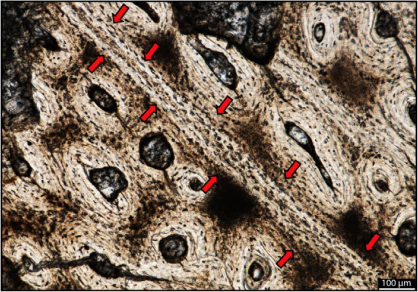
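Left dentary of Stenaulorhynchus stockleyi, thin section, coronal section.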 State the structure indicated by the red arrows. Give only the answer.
Osteocyte band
